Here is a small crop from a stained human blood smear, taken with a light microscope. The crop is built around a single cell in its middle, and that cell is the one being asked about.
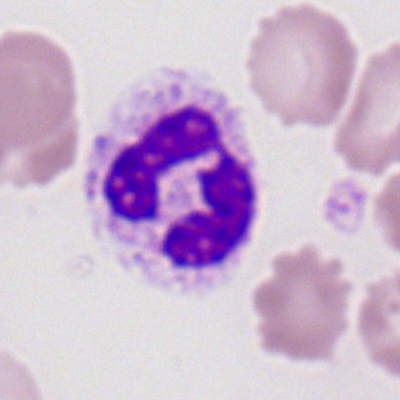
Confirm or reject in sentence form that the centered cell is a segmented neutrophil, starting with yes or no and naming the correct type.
Yes, this central cell is a segmented neutrophil.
